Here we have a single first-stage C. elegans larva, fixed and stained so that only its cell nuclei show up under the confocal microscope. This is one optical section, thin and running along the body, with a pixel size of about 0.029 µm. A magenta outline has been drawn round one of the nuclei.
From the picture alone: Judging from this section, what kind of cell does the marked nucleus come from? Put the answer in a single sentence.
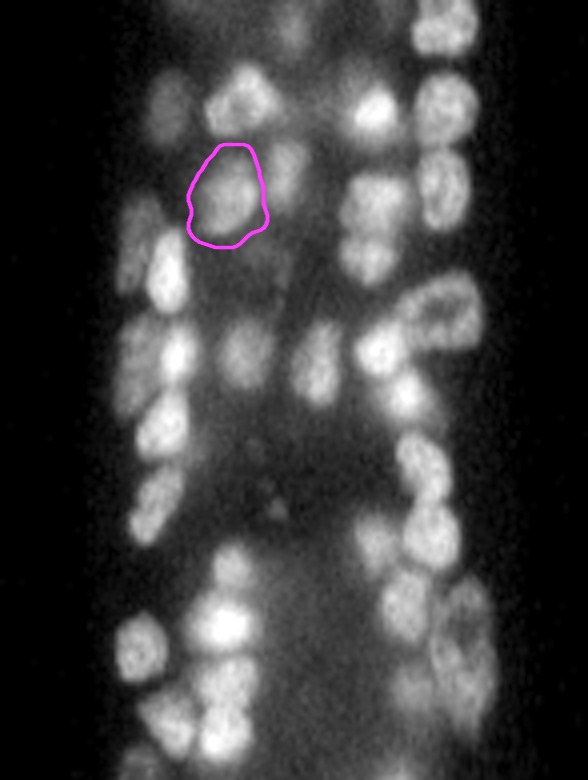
The marked cell is a pharyngeal muscle cell.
